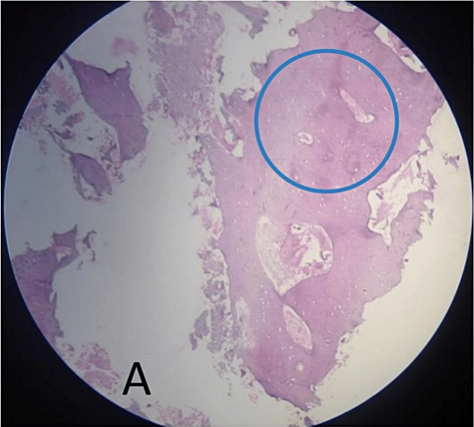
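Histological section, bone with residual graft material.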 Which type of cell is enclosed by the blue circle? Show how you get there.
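Osteocytes. The circled area is pink-purple mineralised matrix.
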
